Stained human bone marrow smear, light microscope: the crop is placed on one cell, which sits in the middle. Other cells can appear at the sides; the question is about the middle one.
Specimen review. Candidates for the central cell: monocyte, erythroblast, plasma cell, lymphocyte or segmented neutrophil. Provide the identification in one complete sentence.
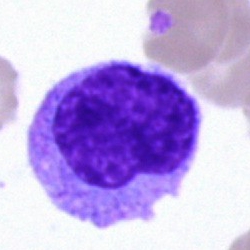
In the centre of this crop there is a monocyte.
